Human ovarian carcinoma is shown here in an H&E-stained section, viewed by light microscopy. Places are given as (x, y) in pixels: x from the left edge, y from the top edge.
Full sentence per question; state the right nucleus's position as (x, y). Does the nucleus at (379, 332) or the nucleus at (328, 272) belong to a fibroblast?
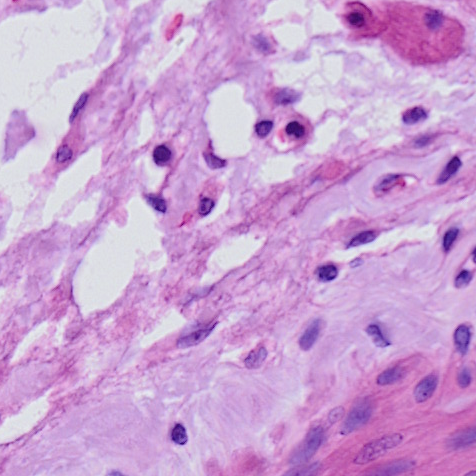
The nucleus whose cell is a fibroblast is the one at (379, 332).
